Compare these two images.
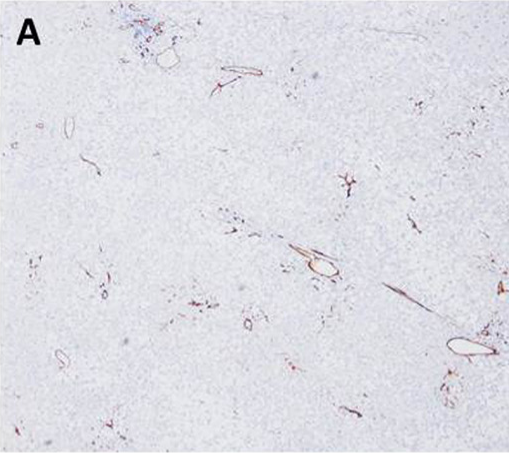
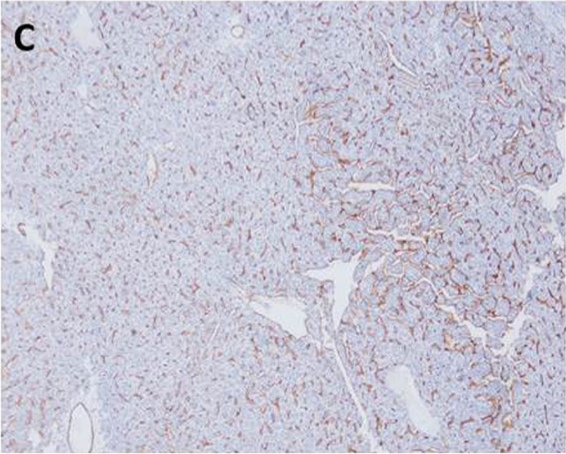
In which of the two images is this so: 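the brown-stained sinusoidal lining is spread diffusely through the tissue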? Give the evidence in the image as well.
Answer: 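The second image. Second image: a dense brown network of thin channels runs through nearly the whole field. First image: brown staining is limited to scattered vessels and small foci, with most of the tissue unstained.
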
